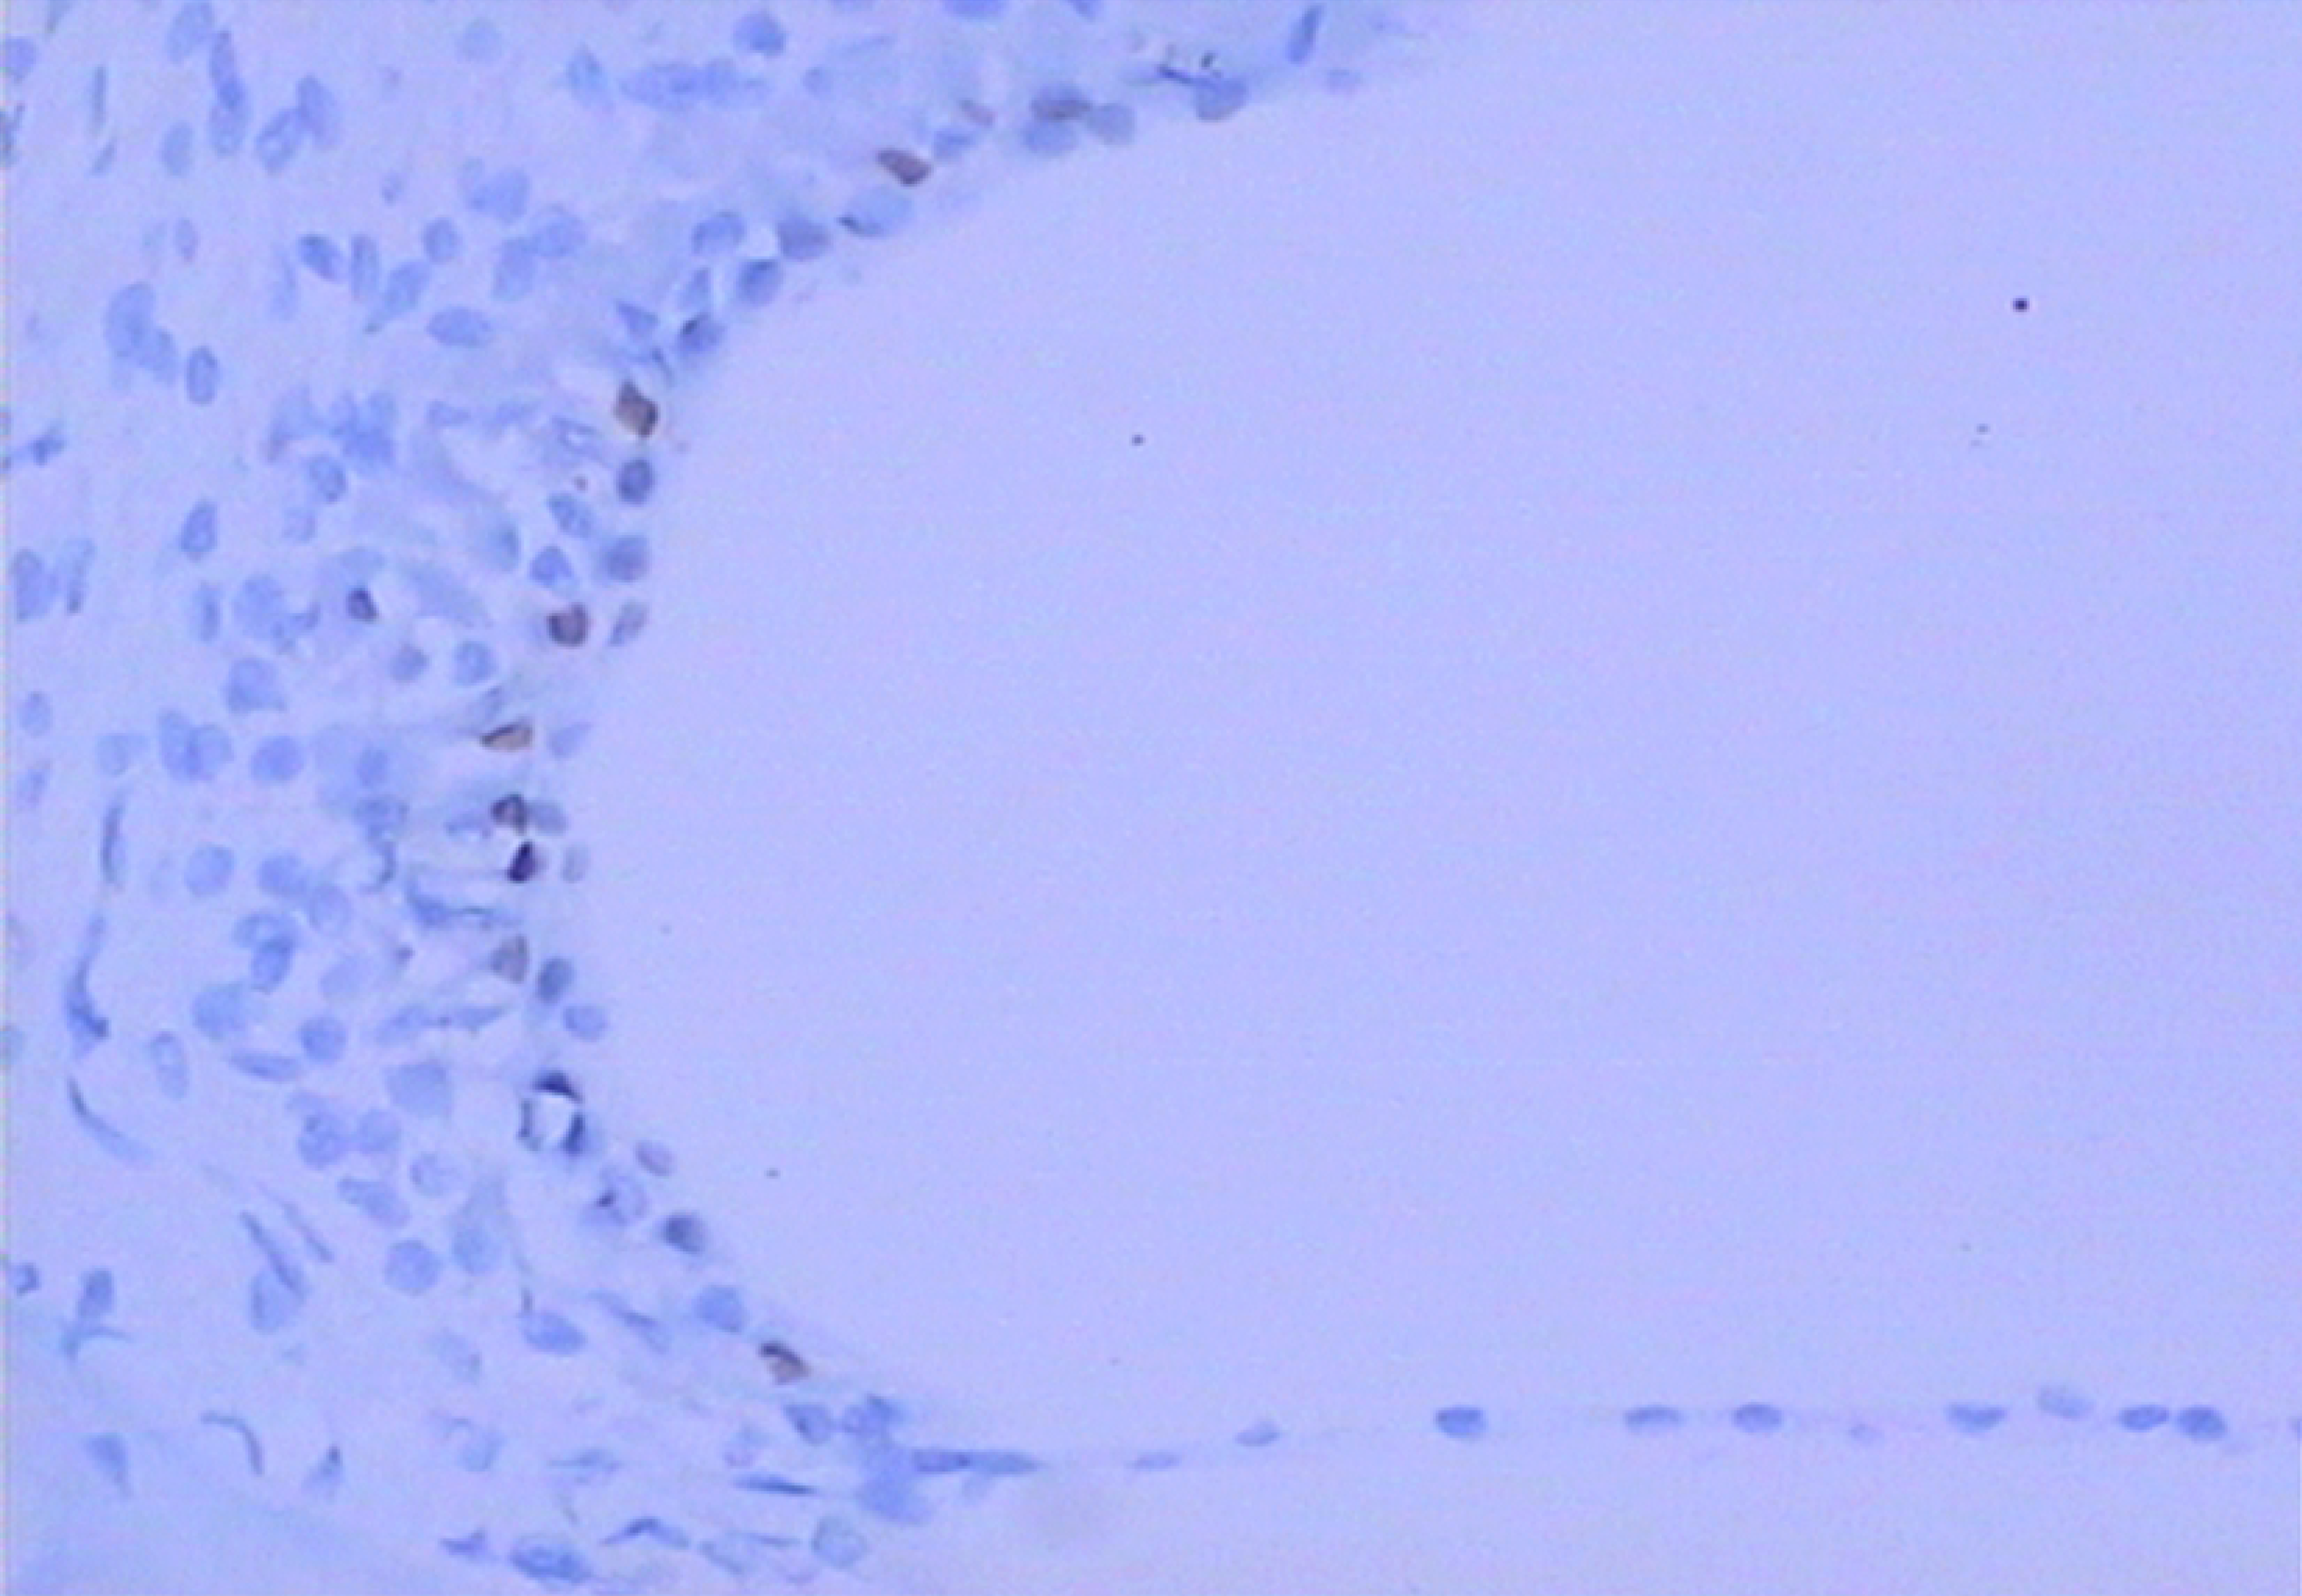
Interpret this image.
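The brown nuclei lie mainly in a row near the free edge of the lining, facing the empty space, and some look small and dark. Deeper in the tissue, elongated spindle-shaped nuclei are scattered among the rounder ones. From the lower end of the lining, a thin membrane made of a single row of flattened cells extends to the right across the space.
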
